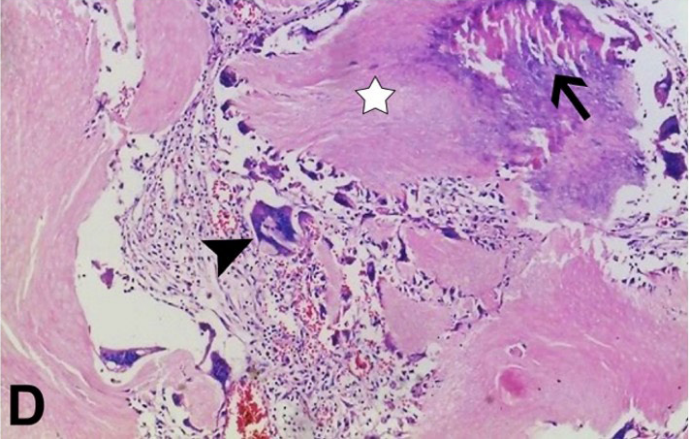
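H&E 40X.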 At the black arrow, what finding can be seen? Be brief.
Focus of calcification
